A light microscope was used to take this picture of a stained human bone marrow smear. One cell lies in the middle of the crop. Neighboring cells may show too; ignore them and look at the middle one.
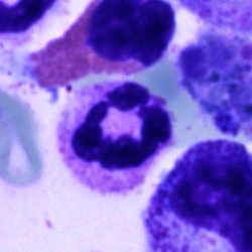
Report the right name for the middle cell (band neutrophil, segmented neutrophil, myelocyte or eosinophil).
segmented neutrophil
